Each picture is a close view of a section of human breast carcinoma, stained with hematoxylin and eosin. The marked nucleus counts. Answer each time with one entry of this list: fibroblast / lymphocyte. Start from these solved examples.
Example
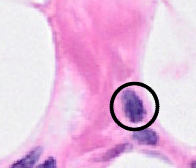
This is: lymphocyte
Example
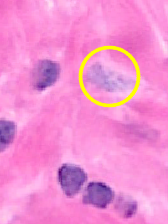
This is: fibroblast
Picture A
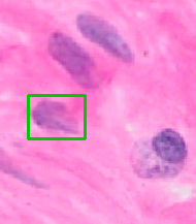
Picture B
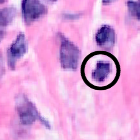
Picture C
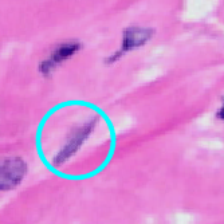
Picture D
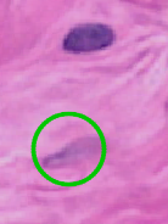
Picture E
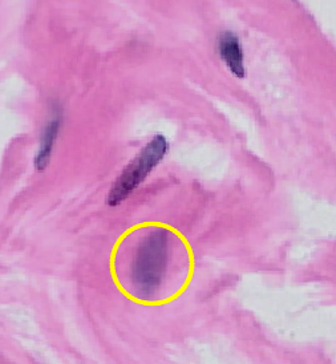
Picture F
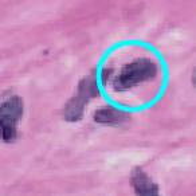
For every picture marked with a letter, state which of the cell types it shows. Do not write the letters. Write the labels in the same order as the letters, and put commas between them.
fibroblast, lymphocyte, fibroblast, fibroblast, fibroblast, lymphocyte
